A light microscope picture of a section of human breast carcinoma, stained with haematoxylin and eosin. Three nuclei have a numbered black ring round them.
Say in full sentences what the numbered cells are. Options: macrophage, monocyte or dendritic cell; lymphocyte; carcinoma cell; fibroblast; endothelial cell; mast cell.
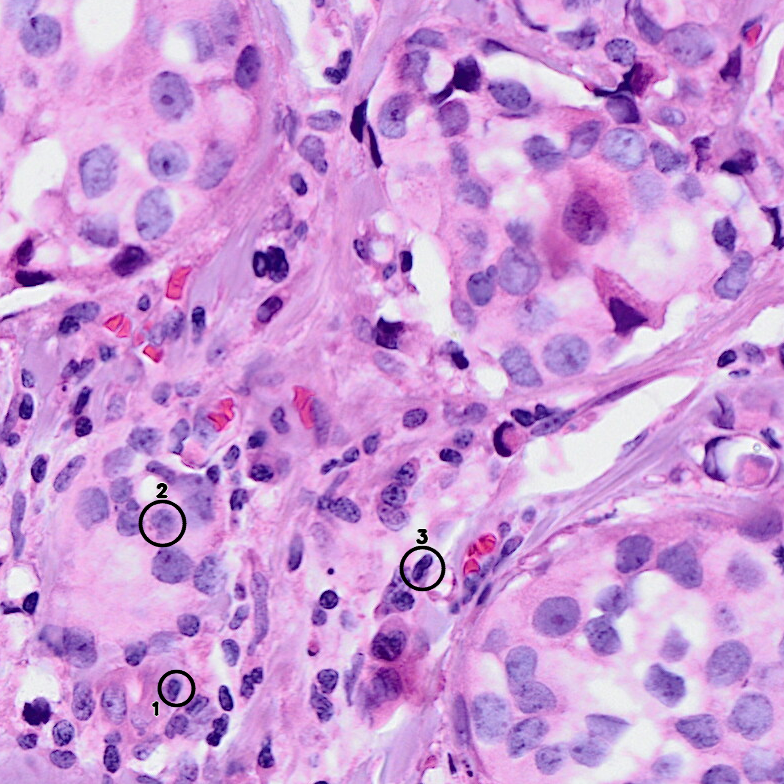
Cells 1 and 3 are lymphocytes. Cell 2 is a carcinoma cell.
